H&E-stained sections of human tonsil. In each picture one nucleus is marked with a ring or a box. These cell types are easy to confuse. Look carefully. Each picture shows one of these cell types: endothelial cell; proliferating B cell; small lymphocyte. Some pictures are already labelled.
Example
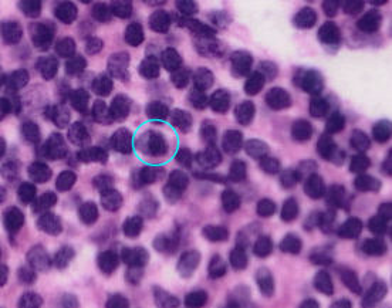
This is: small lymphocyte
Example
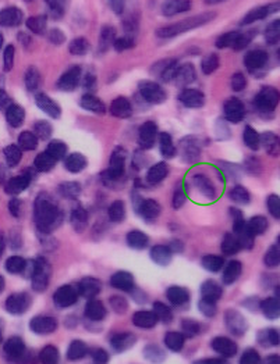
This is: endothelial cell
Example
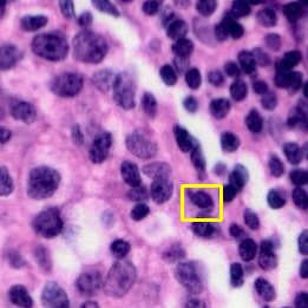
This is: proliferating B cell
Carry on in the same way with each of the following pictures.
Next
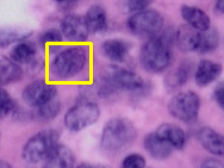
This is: proliferating B cell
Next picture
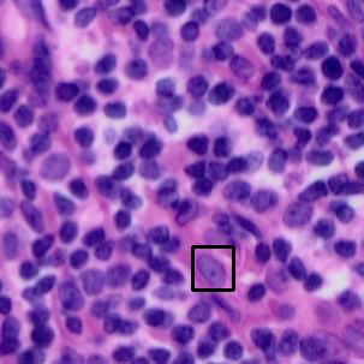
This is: endothelial cell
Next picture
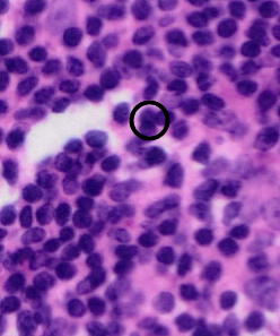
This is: small lymphocyte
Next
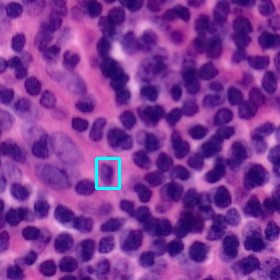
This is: endothelial cell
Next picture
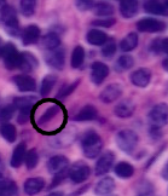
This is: endothelial cell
